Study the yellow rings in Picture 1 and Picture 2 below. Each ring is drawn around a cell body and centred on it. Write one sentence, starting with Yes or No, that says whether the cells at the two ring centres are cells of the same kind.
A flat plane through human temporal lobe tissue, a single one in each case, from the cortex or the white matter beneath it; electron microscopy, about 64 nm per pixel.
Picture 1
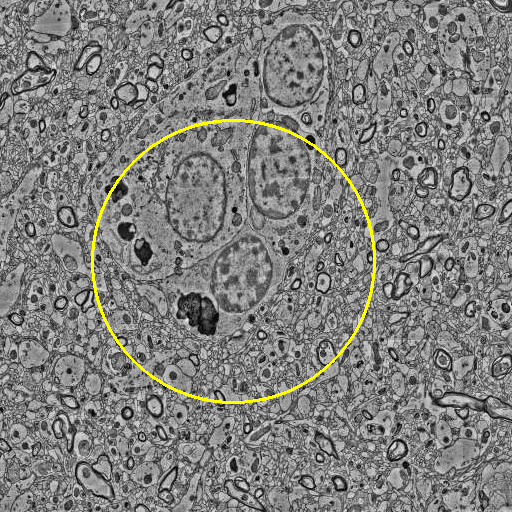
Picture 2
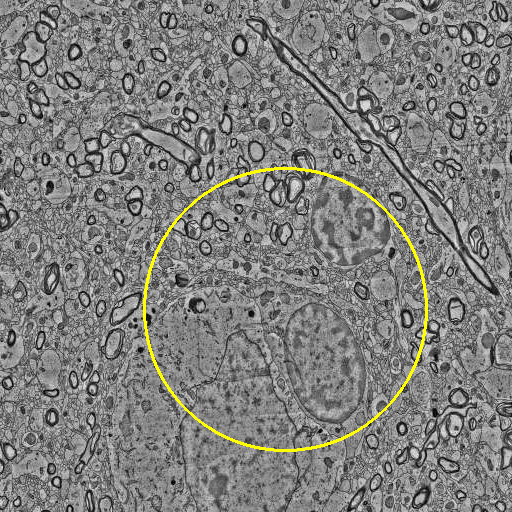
Yes, the cells at both ring centres are of the same kind.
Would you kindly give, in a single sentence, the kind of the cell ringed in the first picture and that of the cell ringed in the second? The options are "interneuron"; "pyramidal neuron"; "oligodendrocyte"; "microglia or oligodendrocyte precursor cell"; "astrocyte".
The cell at the ring centre is an oligodendrocyte in both pictures.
